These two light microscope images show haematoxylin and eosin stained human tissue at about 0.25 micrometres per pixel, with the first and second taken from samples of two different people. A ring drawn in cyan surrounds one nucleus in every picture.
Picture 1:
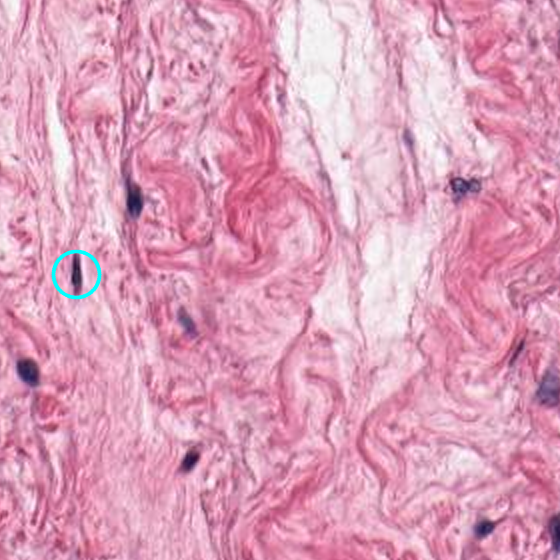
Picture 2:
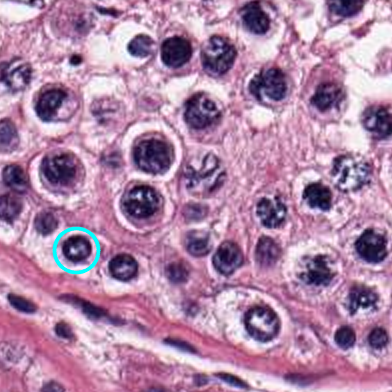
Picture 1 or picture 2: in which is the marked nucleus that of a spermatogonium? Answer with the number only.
2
